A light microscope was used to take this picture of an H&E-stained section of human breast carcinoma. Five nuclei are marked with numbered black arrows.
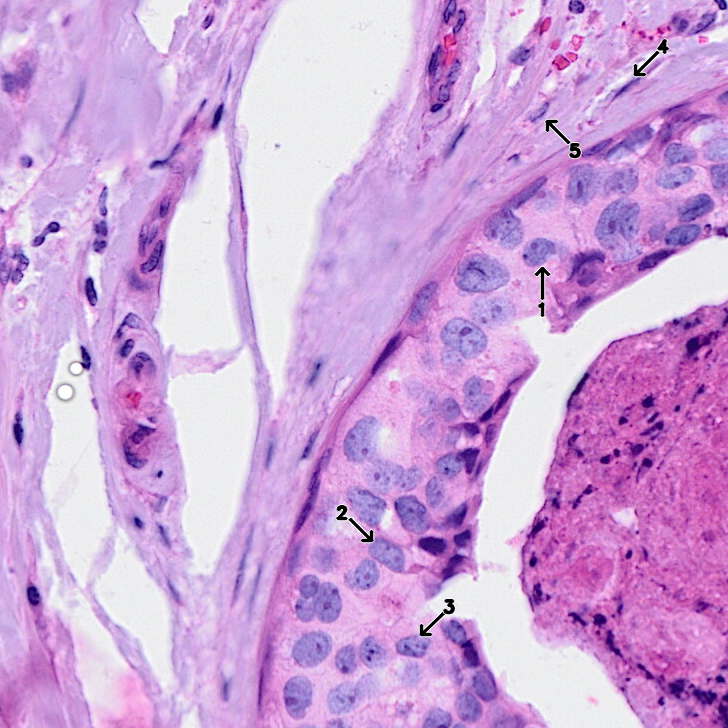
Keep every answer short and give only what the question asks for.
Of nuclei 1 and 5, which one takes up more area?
1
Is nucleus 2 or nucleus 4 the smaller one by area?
4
